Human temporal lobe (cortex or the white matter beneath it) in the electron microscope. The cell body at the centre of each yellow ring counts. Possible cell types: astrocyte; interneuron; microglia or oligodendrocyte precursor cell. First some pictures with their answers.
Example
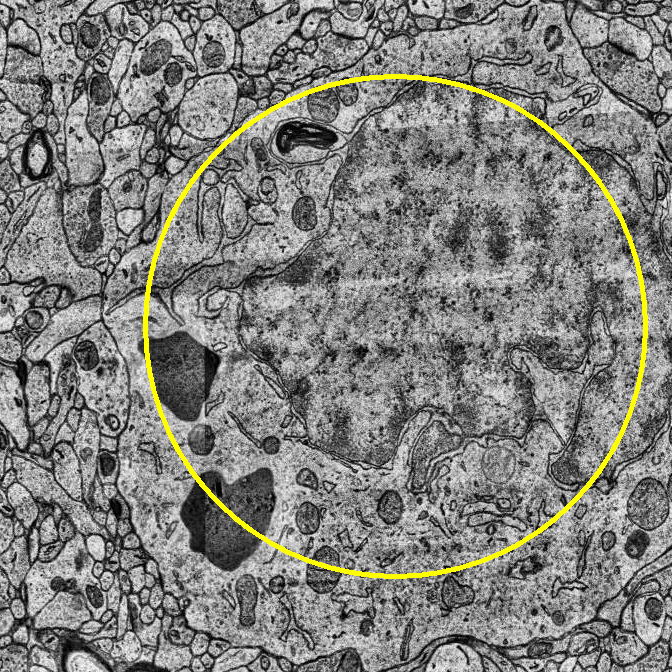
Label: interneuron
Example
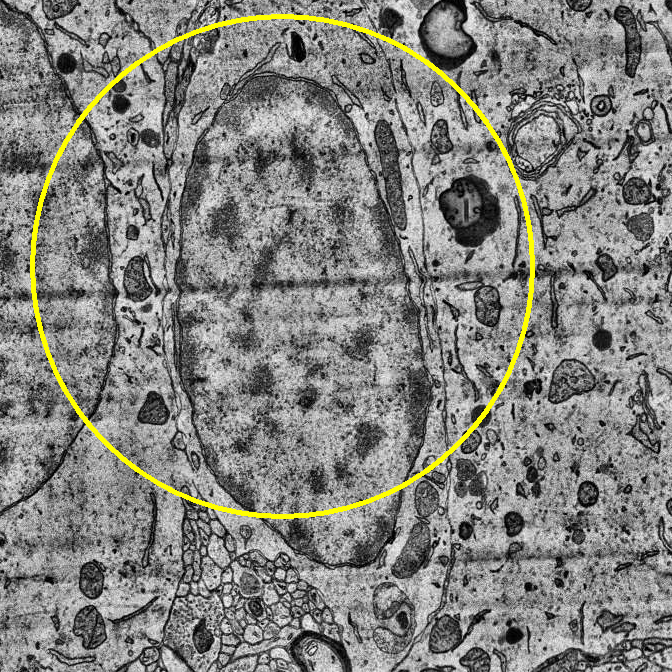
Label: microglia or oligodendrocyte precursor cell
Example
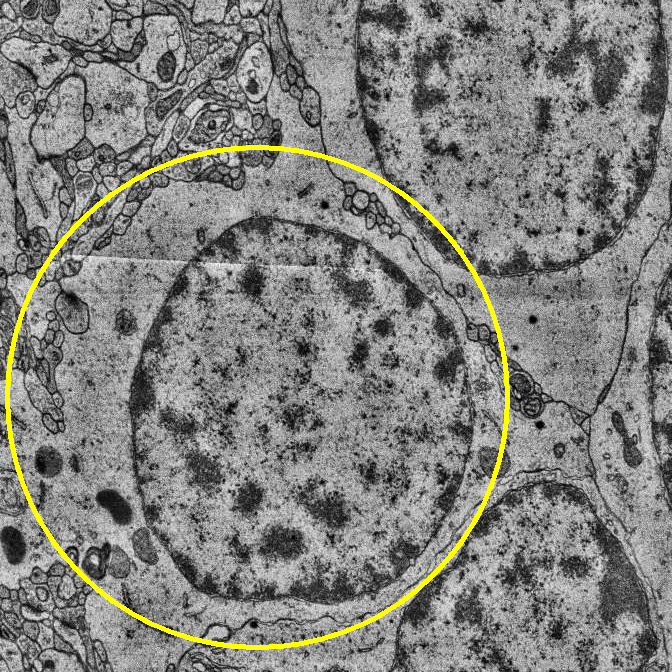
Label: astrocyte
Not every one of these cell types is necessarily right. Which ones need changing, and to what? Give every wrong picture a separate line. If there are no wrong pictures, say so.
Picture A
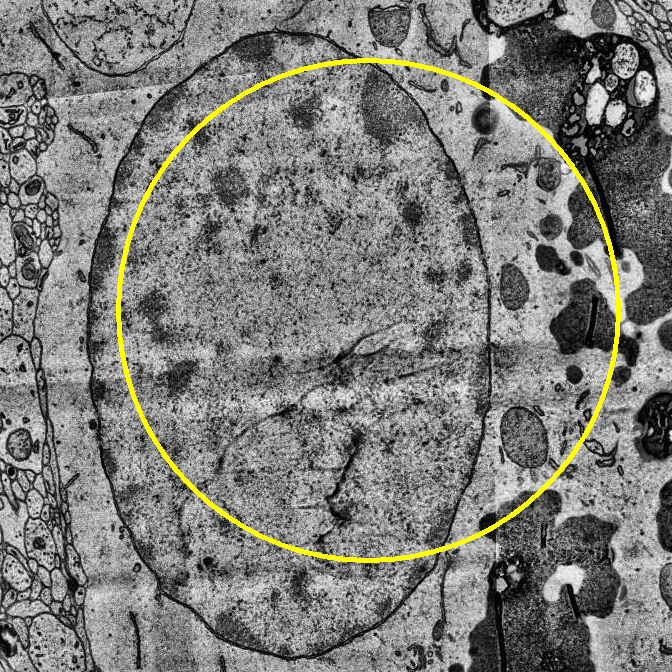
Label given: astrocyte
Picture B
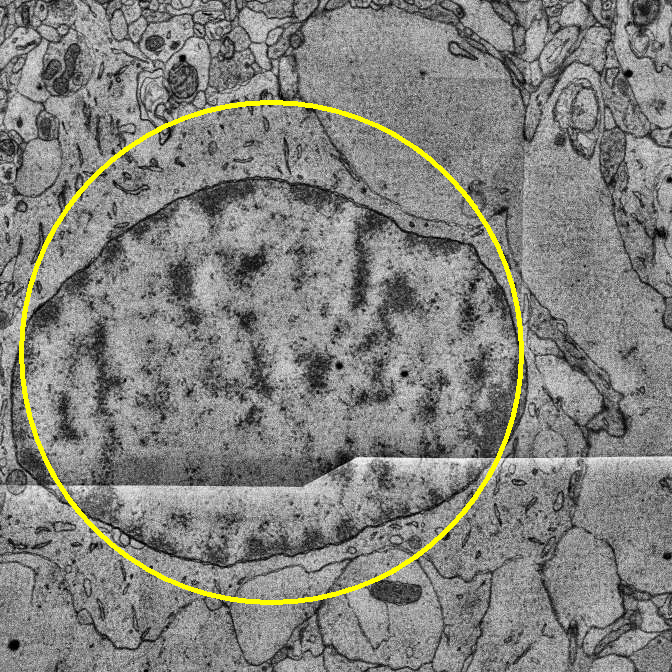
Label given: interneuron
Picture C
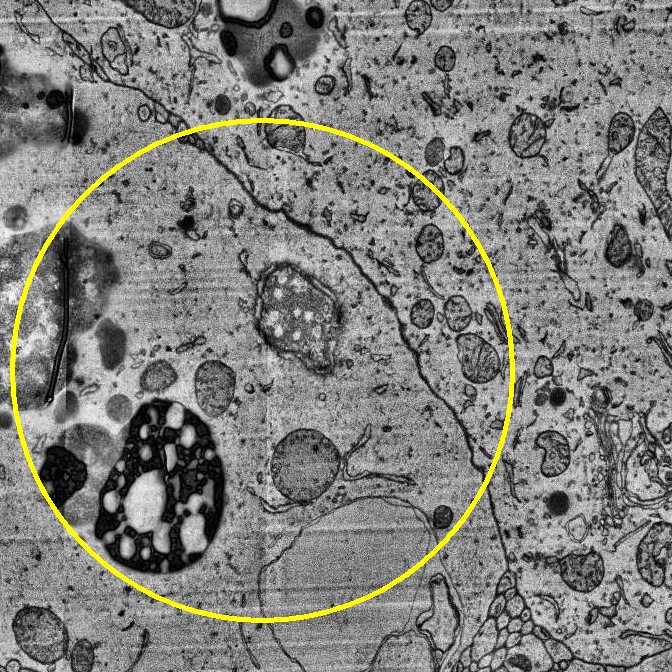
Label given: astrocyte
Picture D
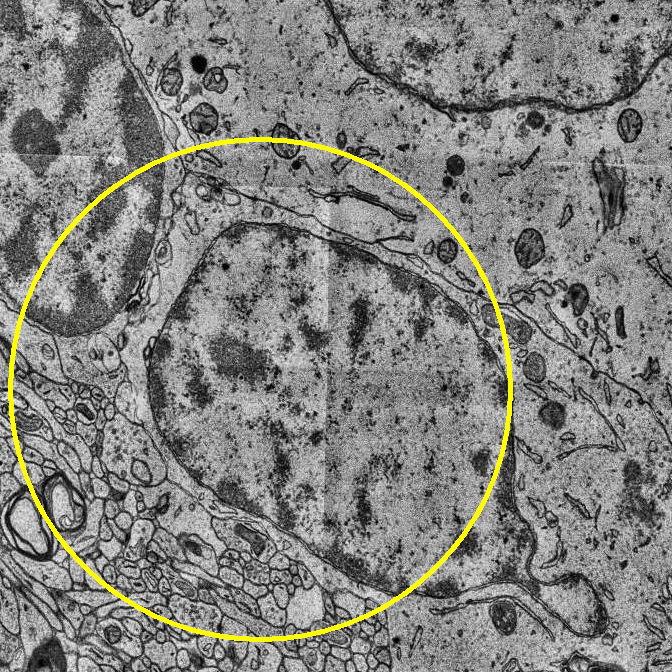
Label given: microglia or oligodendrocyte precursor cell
B: microglia or oligodendrocyte precursor cell, not interneuron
